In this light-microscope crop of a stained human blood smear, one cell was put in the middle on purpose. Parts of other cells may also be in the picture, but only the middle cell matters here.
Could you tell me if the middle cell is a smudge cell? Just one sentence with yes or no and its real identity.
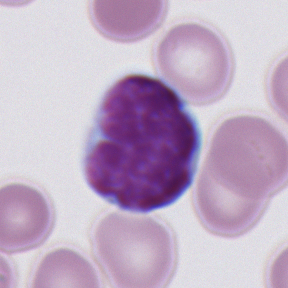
No, that is not a smudge cell; the middle cell is a typical lymphocyte.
